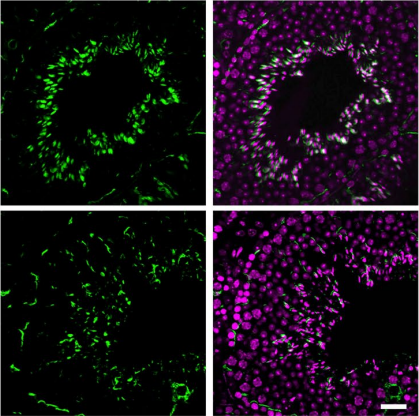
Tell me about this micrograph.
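In the upper row the green structures form a dense, regular ring of short elongated bundles around the lumen. In the lower row the green signal is sparser and more scattered, with thin streaks running in many directions, and the ring around the lumen is poorly defined.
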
